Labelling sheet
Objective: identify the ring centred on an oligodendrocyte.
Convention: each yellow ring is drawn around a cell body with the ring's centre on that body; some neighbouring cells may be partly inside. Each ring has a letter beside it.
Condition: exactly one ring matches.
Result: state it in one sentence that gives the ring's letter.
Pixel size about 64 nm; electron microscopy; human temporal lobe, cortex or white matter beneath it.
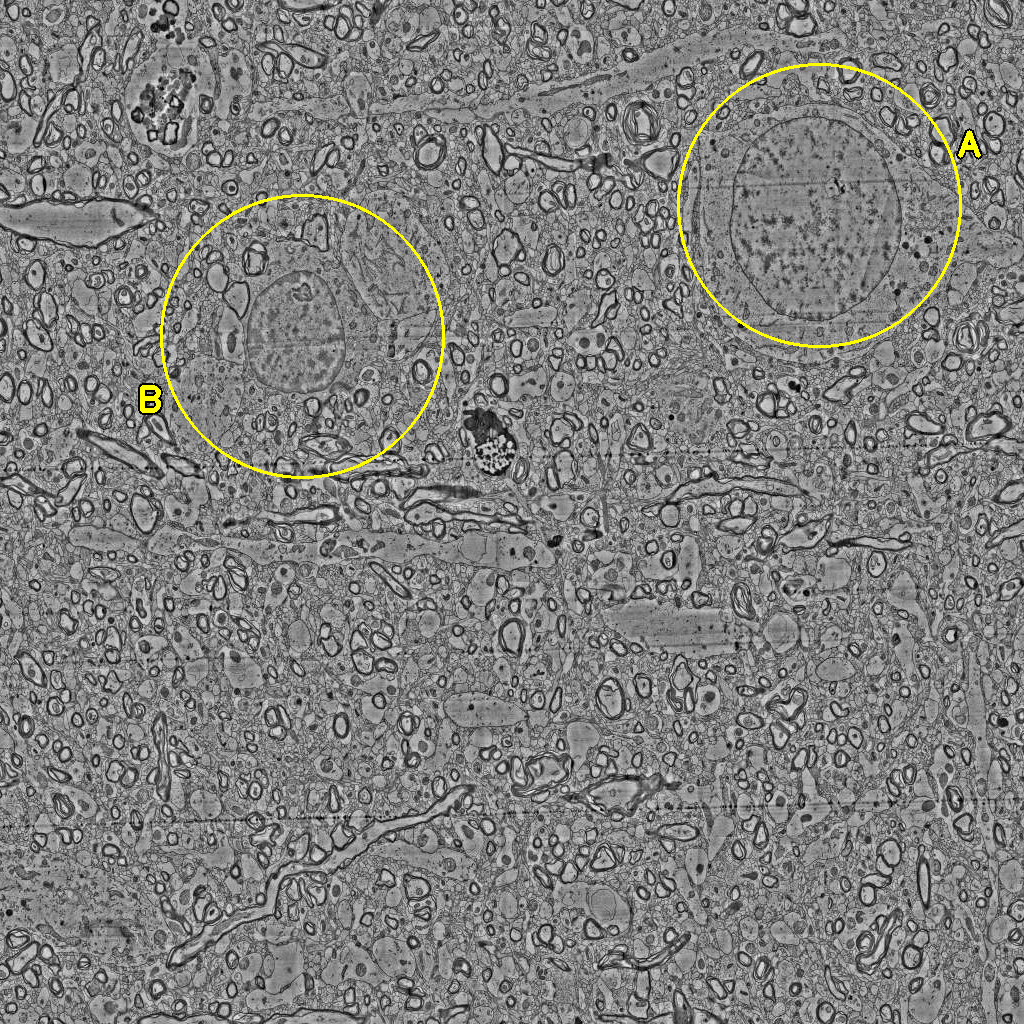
It lies at the centre of ring B.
